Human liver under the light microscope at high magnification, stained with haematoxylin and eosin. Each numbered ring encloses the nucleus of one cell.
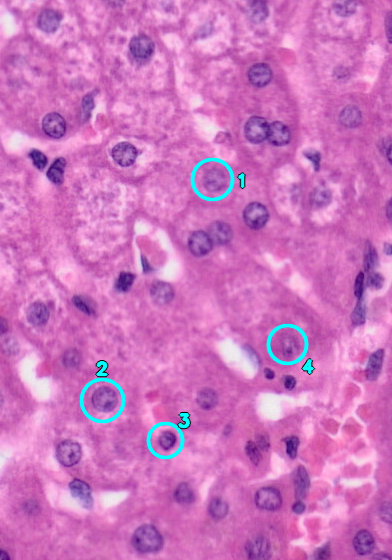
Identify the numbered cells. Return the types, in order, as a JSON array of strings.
["hepatocyte", "hepatocyte", "lymphocyte", "hepatocyte"]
